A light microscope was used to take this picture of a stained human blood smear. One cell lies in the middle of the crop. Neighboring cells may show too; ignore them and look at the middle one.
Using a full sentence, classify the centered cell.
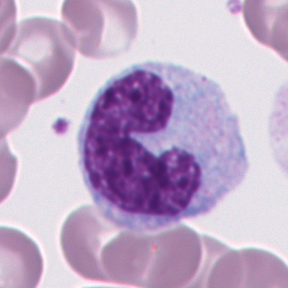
The cell in the middle of this crop is a monocyte.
